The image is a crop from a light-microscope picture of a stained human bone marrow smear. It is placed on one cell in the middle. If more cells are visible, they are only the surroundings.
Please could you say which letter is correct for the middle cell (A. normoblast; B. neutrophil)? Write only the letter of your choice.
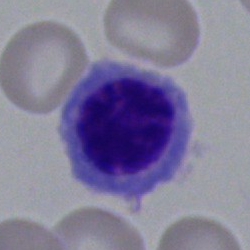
A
